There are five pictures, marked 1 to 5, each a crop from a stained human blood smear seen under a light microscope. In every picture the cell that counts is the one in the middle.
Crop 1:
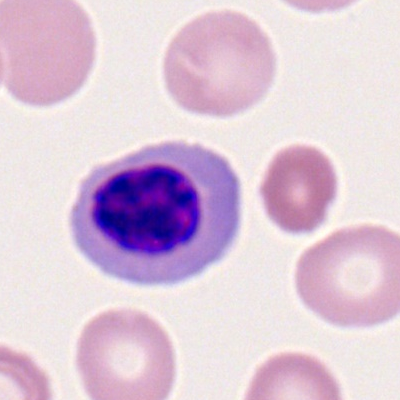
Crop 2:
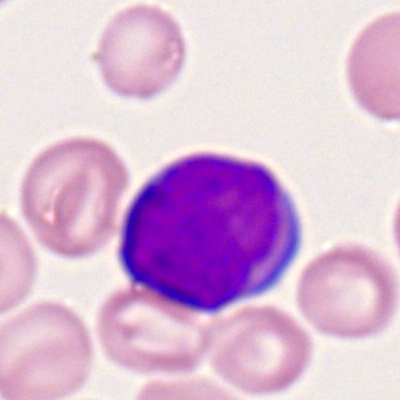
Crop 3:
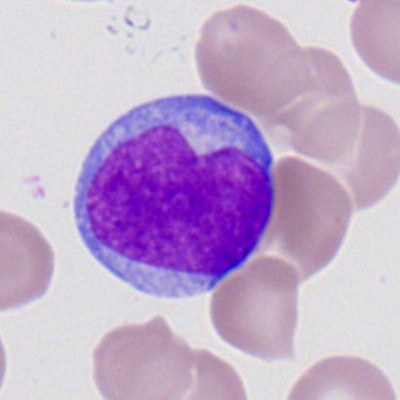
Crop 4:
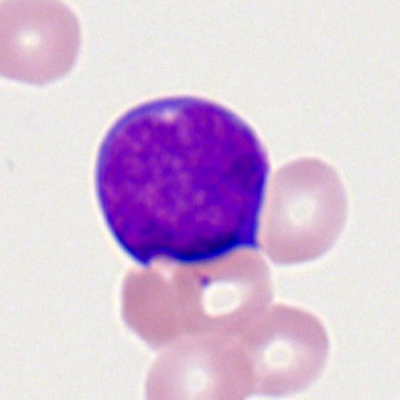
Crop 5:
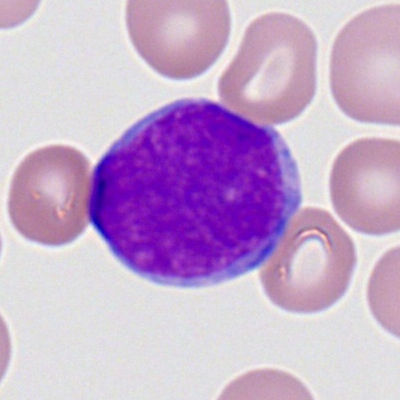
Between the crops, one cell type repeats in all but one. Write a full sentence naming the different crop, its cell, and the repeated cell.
Unlike the other crops, which all show myeloblasts, crop 1 is an erythroblast.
